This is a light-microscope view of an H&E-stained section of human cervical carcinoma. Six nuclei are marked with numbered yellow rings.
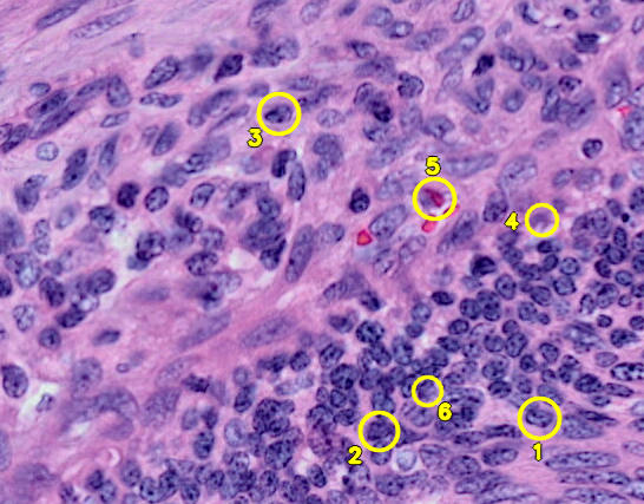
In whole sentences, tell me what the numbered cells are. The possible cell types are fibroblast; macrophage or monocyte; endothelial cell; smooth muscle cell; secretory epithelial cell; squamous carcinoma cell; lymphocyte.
Cells 1, 2, 4 and 6 are squamous carcinoma cells. Cell 3 is a lymphocyte. Cell 5 is an endothelial cell.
